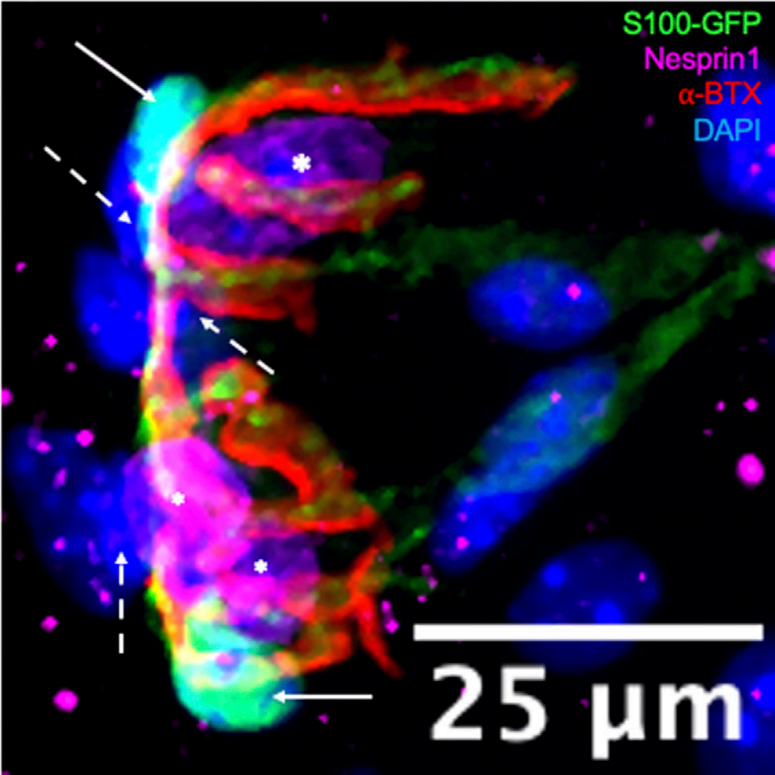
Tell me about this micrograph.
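Bright green cell bodies with blue nuclei sit at the upper and lower ends of the endplate, and thin green processes run along and over the red branches. Several oval nuclei lying under the endplate carry a magenta label overlapping the red branches, while other blue nuclei along the endplate edge lack magenta. Scattered oval blue nuclei and faint green elongated profiles lie in the surrounding tissue to the right.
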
